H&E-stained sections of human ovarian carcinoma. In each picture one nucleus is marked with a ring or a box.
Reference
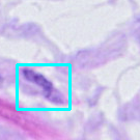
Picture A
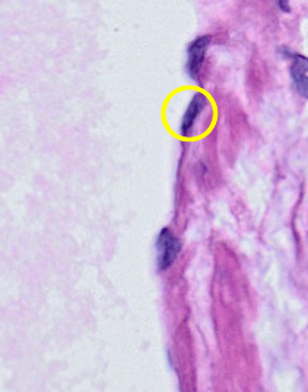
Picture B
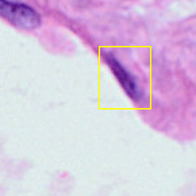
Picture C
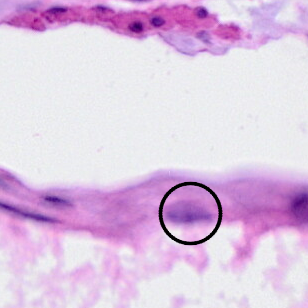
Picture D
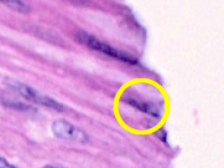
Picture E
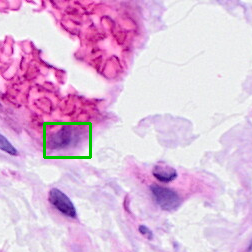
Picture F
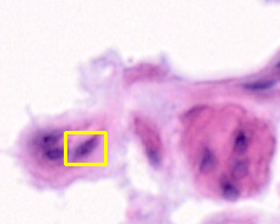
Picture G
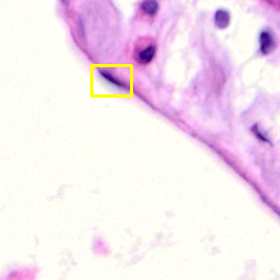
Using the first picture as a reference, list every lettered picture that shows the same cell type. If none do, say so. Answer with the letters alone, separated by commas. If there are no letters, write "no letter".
D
